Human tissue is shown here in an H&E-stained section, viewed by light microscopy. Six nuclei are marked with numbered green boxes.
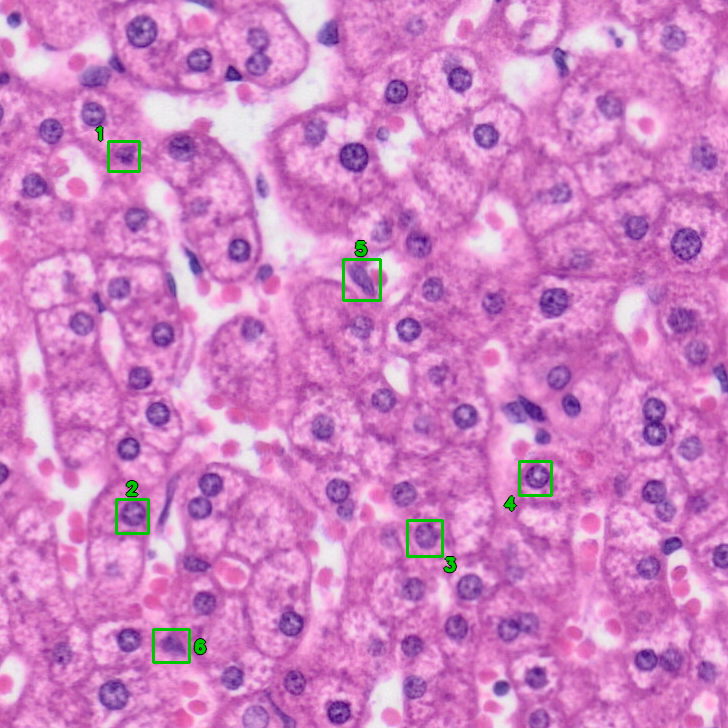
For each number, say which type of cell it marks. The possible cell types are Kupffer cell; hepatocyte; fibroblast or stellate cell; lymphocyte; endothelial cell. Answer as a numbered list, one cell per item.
1. fibroblast or stellate cell
2. hepatocyte
3. hepatocyte
4. hepatocyte
5. Kupffer cell
6. endothelial cell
